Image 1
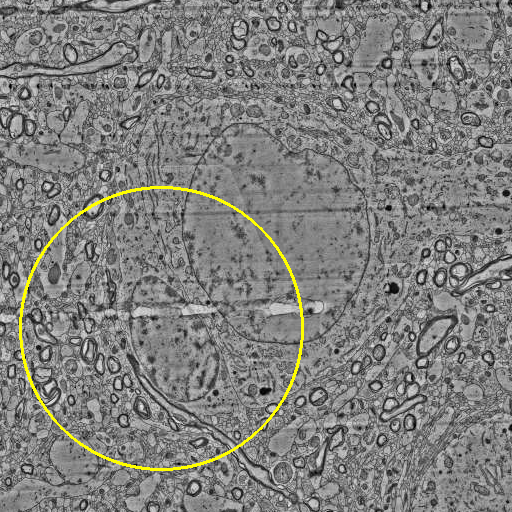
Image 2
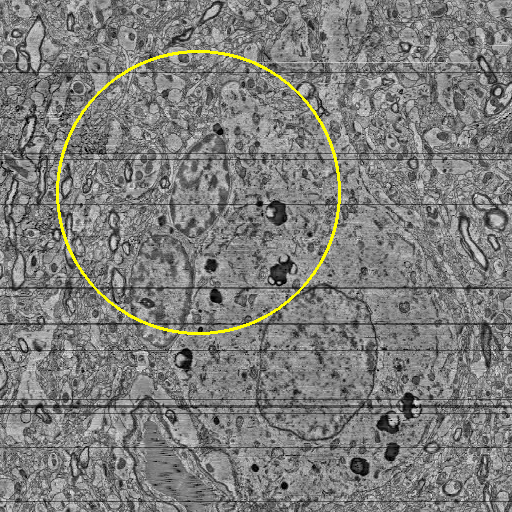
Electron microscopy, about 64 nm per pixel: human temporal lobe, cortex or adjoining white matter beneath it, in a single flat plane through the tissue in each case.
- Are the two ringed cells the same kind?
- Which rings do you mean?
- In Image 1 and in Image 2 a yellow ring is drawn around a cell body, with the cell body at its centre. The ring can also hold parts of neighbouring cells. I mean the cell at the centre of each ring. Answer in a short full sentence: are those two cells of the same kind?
Yes, both cells are of the same kind.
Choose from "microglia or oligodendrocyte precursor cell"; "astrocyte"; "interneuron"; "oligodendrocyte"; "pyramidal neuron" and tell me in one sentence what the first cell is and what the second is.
Each cell at the centre of a ring is a microglial cell or oligodendrocyte precursor cell.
